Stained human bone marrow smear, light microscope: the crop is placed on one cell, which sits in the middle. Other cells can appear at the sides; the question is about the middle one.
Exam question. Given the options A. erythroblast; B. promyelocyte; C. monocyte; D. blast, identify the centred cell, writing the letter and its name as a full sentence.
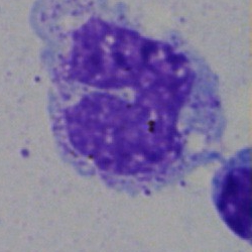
The centered cell is a monocyte, which is why option C is right.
